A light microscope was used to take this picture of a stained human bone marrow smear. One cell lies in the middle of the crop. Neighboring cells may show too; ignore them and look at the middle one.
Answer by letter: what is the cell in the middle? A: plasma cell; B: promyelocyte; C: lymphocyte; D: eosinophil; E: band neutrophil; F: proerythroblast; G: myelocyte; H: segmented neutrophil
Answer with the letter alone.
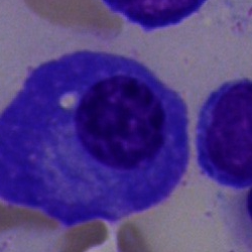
A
